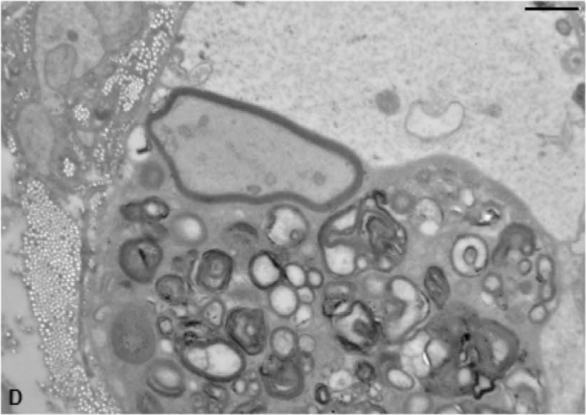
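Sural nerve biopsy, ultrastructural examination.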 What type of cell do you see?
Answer: Macrophage.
